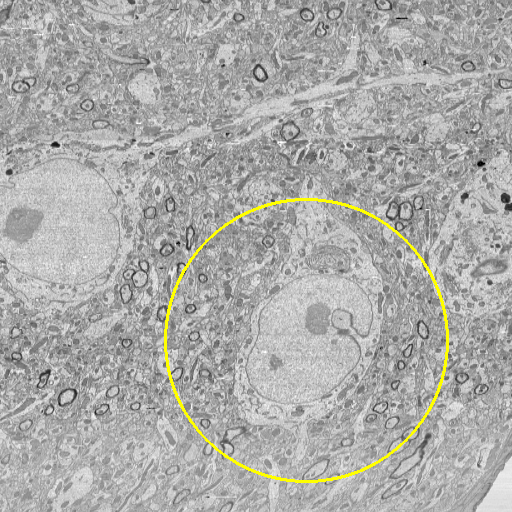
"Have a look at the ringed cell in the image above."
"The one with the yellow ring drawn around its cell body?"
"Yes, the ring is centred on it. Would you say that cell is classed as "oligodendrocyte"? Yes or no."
no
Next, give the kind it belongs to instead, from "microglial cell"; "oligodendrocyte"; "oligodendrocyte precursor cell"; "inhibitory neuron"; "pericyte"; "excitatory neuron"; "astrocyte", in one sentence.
That cell in the ring is an excitatory neuron instead.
